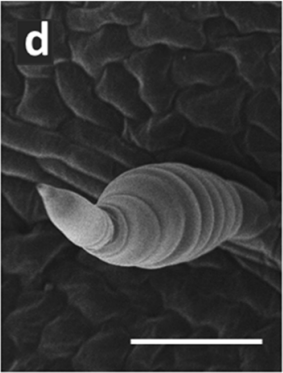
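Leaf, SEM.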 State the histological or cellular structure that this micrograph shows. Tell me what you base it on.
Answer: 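A single short projection rises from a surface of polygonal cells. The projection is built of stacked ring-like segments. It tapers to a pointed tip. So: trichomes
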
